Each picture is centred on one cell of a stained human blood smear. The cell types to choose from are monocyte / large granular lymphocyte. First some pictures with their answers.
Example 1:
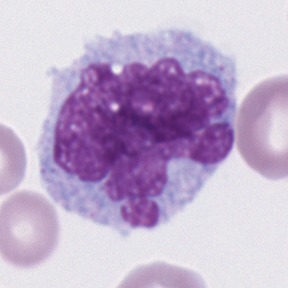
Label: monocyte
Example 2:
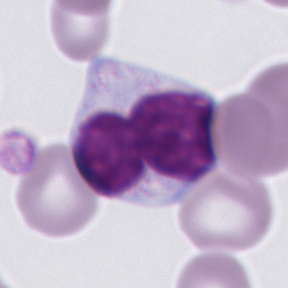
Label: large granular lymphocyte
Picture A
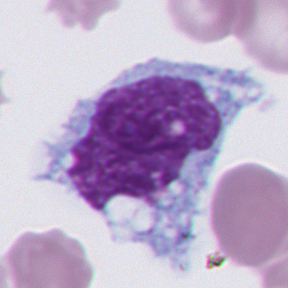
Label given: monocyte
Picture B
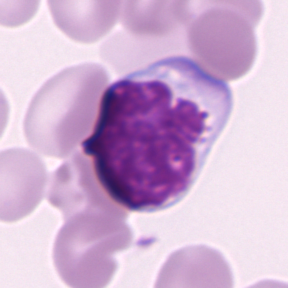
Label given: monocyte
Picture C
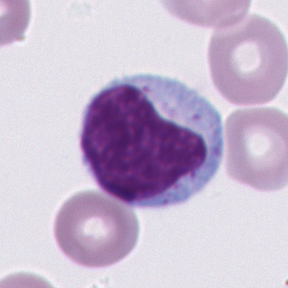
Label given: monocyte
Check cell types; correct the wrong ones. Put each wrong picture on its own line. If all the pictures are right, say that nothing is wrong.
B is labelled monocyte; correct label: large granular lymphocyte
C is labelled monocyte; correct label: large granular lymphocyte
